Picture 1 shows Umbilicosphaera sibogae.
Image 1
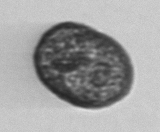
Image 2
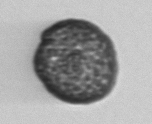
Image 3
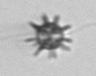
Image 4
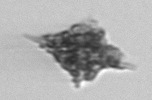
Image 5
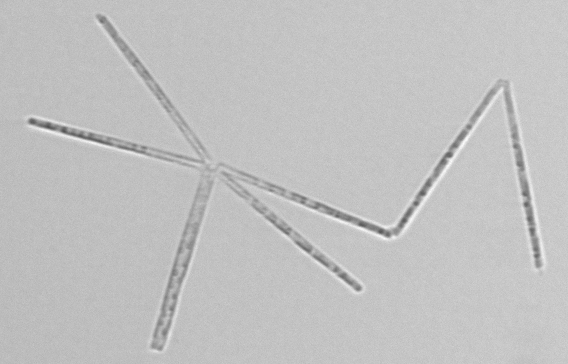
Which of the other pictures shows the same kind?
Picture 2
